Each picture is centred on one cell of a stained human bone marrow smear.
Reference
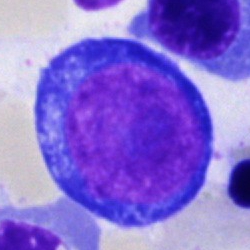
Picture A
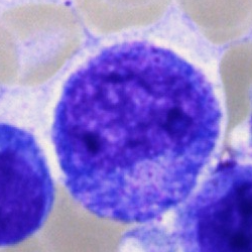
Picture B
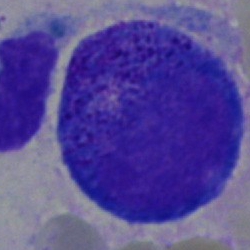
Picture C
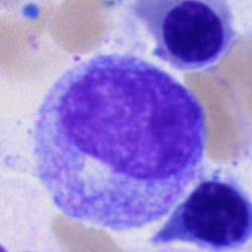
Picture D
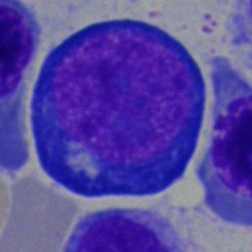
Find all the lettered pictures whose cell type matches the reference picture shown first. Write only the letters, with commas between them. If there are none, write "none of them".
D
